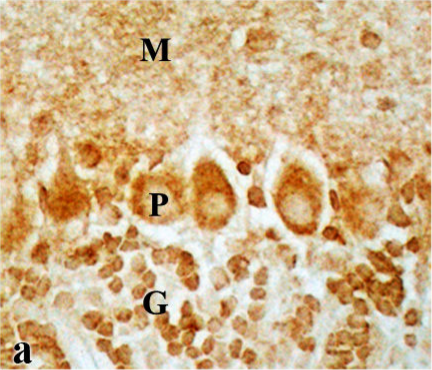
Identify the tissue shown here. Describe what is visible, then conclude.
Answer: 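Cerebellum. A pale finely granular layer lies above a single row of large rounded cell bodies. Below the row lies a layer of densely packed small round cell bodies.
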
